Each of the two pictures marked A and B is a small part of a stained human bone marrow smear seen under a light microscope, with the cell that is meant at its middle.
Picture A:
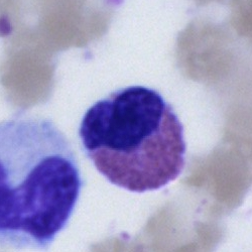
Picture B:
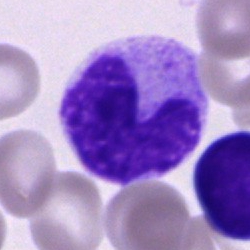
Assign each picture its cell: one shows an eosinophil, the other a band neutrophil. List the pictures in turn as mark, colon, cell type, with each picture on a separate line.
A: eosinophil
B: band neutrophil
